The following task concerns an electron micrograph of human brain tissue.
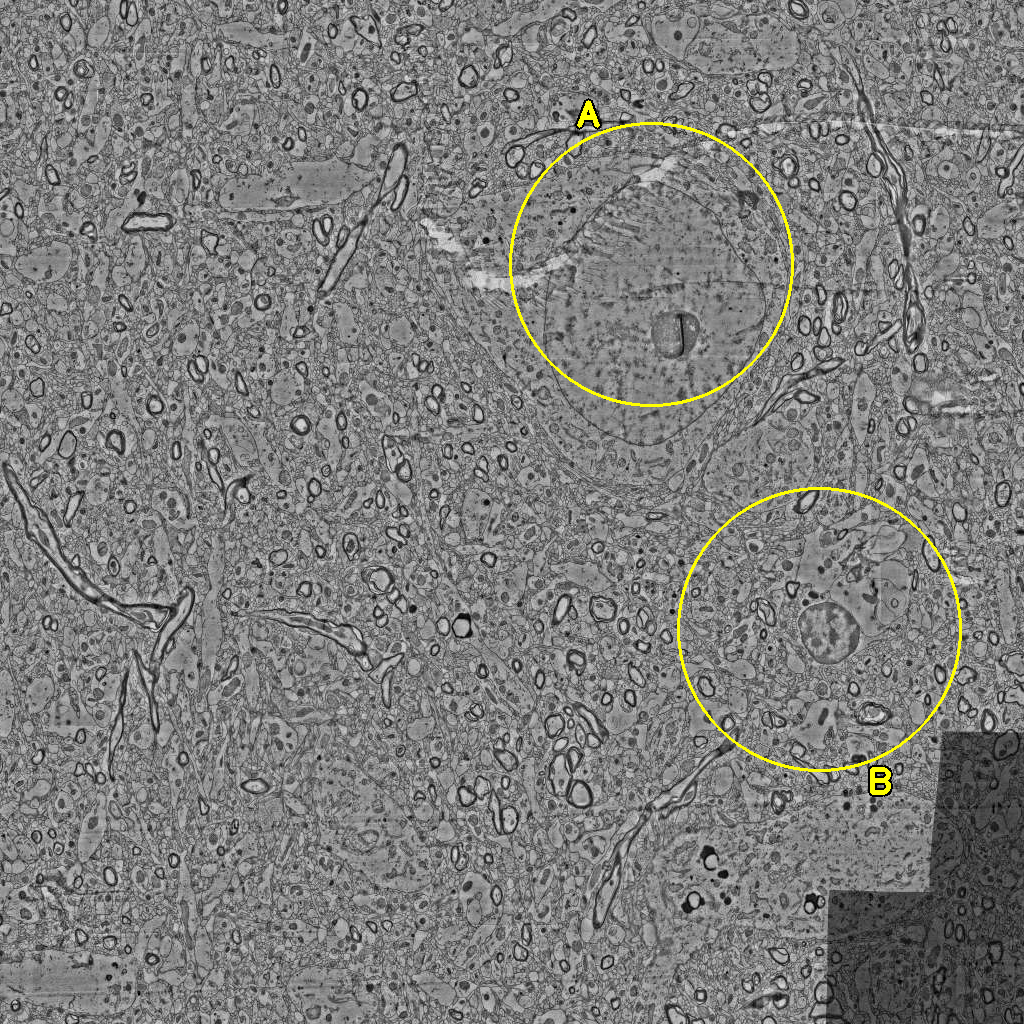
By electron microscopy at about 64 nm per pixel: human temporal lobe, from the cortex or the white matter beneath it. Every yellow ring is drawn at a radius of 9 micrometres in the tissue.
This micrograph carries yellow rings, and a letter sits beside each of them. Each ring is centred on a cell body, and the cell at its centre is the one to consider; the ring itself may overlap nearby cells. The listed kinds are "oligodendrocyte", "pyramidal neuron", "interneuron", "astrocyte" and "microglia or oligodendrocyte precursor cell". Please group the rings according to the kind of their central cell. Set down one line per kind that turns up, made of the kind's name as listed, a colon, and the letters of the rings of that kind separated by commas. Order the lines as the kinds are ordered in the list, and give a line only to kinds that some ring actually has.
pyramidal neuron: A
microglia or oligodendrocyte precursor cell: B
